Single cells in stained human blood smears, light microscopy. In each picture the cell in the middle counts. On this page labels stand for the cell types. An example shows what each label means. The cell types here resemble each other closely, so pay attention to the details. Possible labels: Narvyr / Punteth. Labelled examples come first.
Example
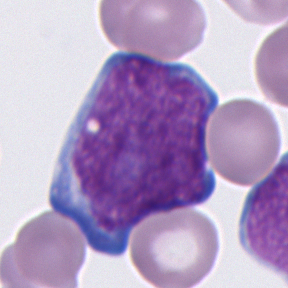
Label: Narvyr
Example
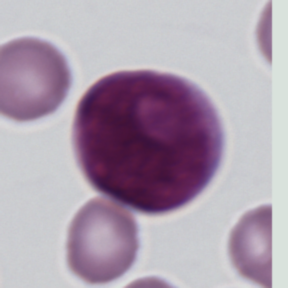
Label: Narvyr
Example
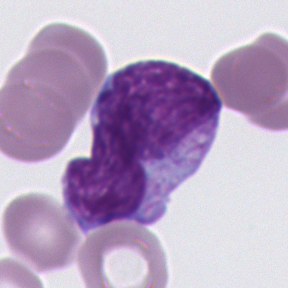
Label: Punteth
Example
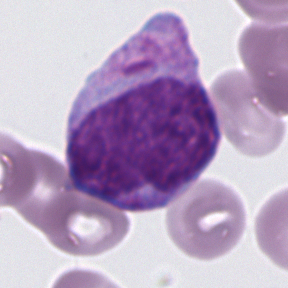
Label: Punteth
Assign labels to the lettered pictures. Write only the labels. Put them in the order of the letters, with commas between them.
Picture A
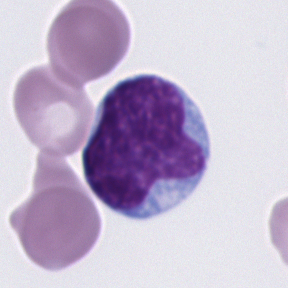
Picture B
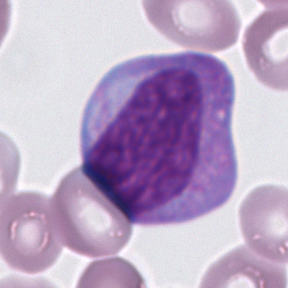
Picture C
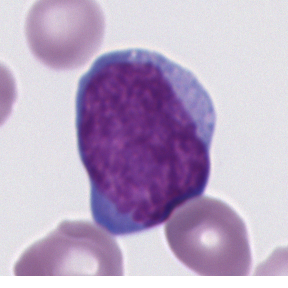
Narvyr, Punteth, Narvyr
